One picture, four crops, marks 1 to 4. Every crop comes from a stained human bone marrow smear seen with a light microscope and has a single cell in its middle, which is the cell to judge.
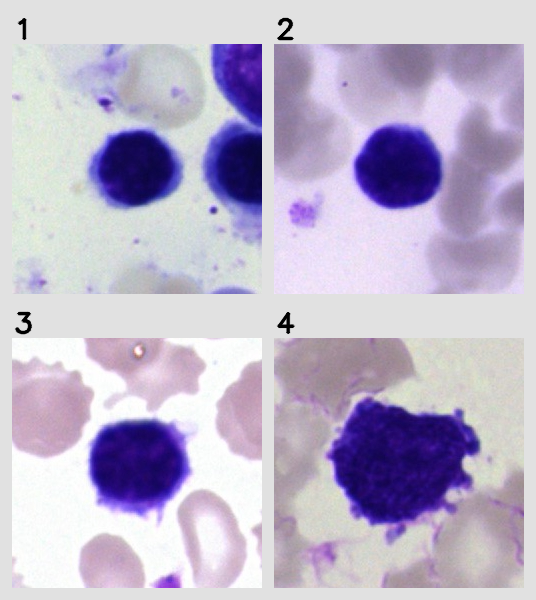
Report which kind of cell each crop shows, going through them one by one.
1: lymphocyte
2: lymphocyte
3: lymphocyte
4: blast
